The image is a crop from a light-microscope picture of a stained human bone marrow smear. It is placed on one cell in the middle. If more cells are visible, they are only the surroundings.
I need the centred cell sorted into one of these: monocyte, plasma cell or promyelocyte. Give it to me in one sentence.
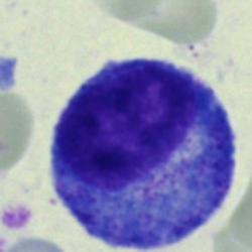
At the middle of the frame sits a promyelocyte.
